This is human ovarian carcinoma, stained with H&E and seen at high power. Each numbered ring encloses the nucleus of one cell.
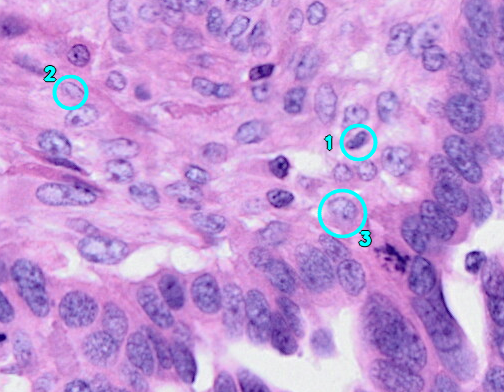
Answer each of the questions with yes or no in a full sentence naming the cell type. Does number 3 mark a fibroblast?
Yes, the cell with number 3 is a fibroblast.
